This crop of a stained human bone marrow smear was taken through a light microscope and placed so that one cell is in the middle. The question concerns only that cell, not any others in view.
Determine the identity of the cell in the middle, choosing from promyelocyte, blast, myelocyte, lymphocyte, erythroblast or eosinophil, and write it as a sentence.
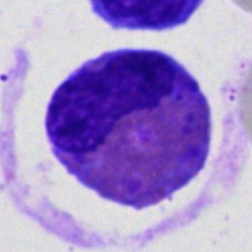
The crop shows an eosinophil in its centre.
